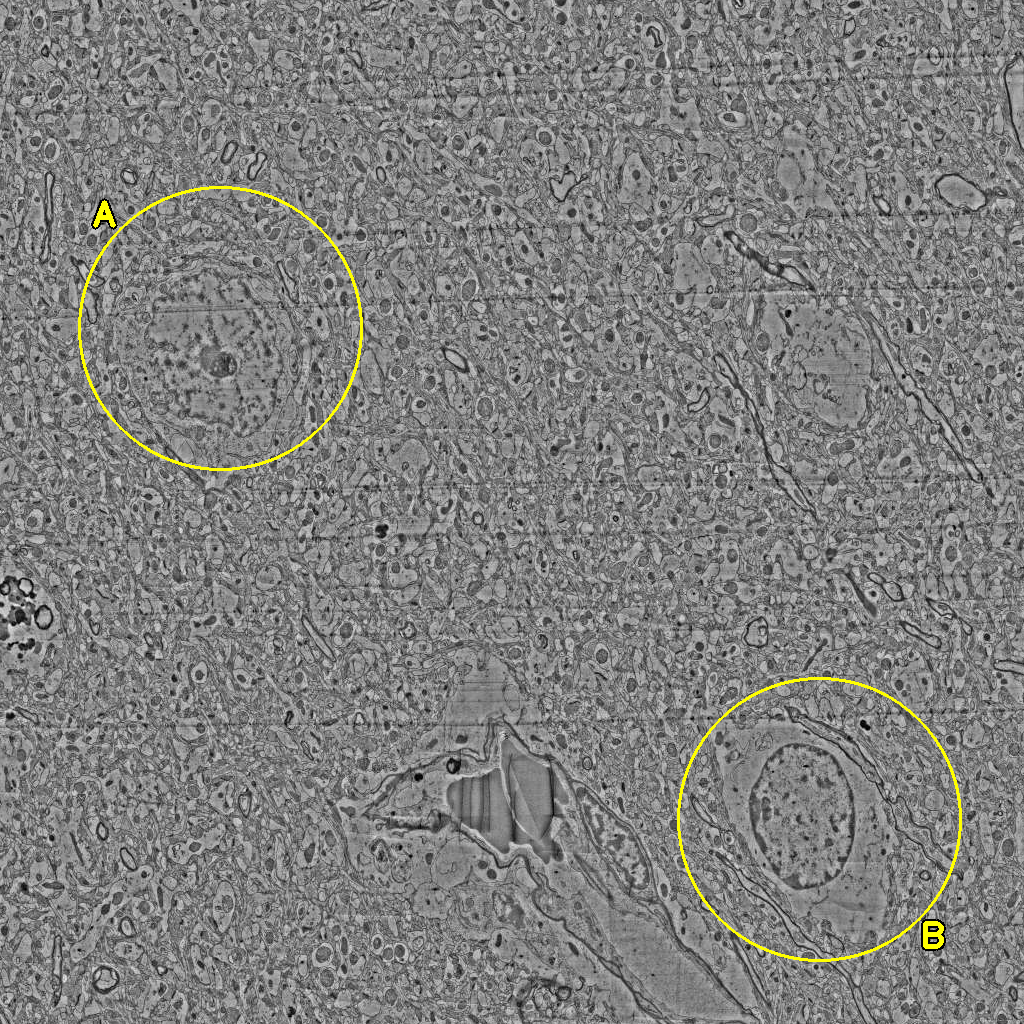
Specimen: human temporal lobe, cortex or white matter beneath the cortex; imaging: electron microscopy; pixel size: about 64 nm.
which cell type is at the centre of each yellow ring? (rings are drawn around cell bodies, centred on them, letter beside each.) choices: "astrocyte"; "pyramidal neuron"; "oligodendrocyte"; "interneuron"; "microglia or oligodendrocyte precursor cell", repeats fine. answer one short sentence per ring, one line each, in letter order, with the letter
Ring A is an interneuron.
Ring B is an astrocyte.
